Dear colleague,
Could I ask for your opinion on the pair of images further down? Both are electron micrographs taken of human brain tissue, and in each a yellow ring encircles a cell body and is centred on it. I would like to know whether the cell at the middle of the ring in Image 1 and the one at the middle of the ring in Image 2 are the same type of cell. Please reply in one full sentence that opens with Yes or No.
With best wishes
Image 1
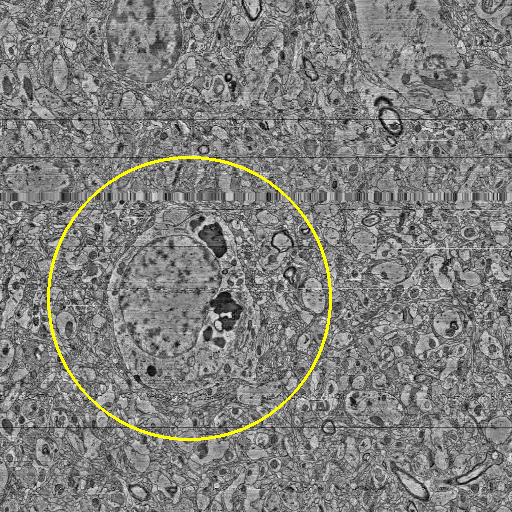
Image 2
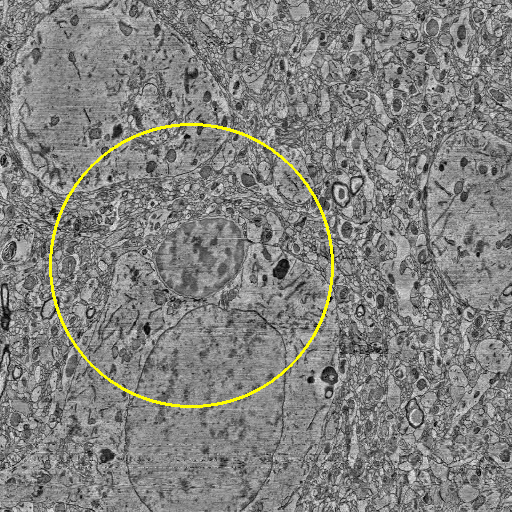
No, the cells at the ring centres in Image 1 and Image 2 are of two types.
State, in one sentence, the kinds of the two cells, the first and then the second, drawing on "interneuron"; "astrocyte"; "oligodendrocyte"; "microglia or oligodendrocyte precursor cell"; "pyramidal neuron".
The ring in the second picture is centred on an oligodendrocyte, the ring in the first on an interneuron.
